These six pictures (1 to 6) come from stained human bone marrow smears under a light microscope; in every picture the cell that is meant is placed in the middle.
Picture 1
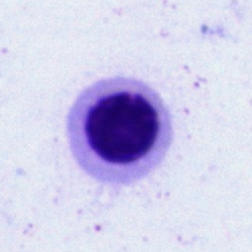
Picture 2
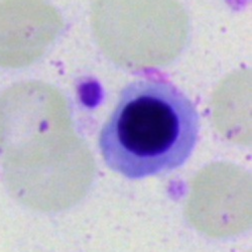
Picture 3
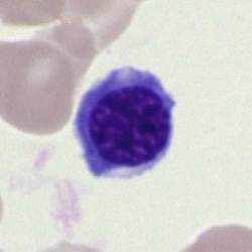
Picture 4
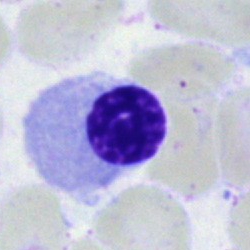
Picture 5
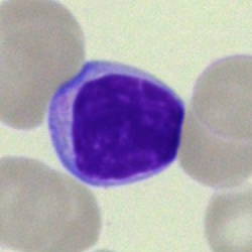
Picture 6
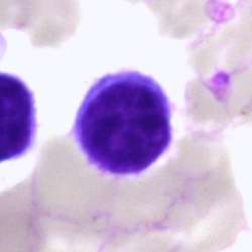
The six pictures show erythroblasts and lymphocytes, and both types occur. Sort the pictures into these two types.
1: erythroblast
2: erythroblast
3: erythroblast
4: erythroblast
5: lymphocyte
6: lymphocyte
